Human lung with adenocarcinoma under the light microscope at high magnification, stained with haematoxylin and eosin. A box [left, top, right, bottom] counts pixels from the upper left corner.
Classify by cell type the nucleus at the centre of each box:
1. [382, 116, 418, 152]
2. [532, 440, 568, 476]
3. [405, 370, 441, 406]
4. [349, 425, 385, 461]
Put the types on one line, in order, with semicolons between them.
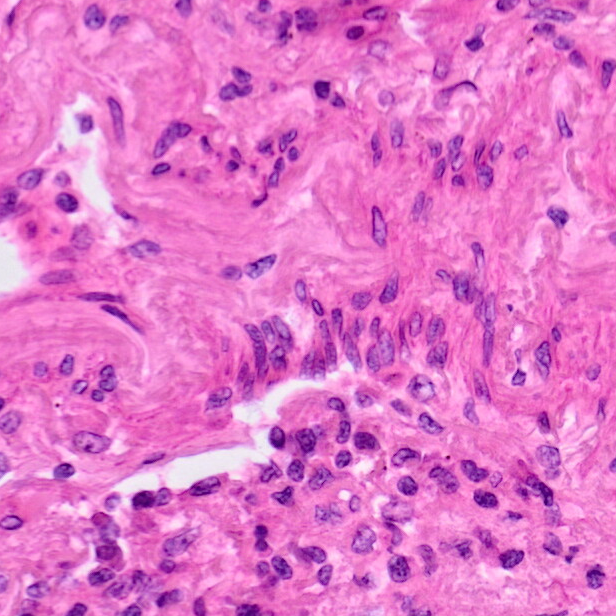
smooth muscle cell or pericyte; fibroblast; fibroblast; plasma cell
